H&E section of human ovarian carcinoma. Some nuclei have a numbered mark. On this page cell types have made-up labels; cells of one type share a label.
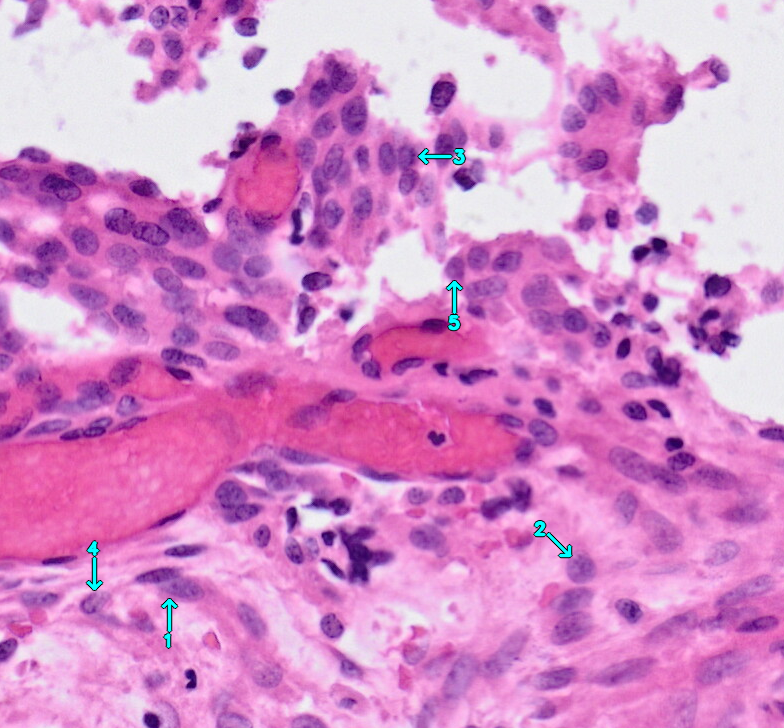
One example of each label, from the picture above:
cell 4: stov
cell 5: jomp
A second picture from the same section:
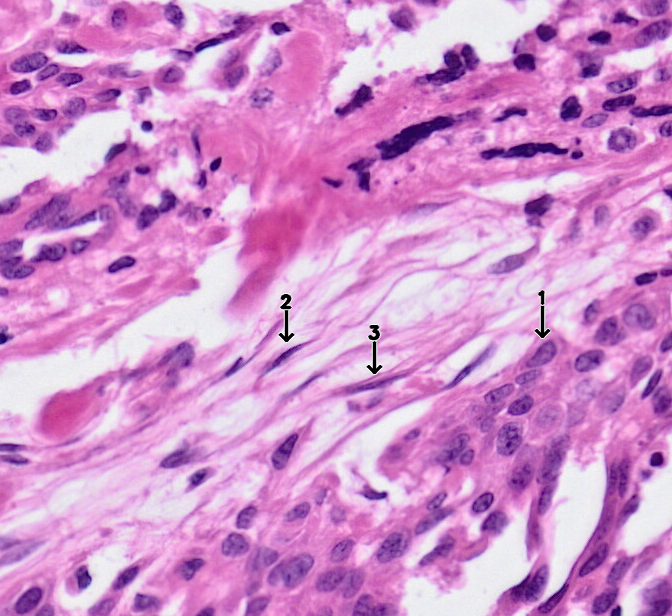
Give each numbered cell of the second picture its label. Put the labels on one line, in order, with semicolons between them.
jomp; stov; stov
